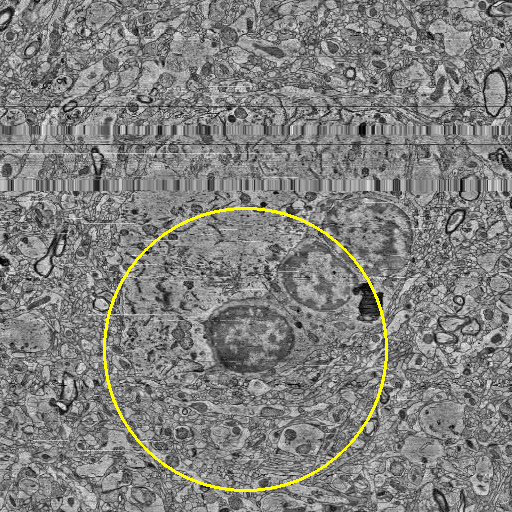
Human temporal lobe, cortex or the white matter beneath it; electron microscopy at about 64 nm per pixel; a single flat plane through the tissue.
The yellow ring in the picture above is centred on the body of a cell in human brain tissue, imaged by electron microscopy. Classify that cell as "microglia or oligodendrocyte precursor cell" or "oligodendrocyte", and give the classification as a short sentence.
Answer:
The cell in the middle of the ring is an oligodendrocyte.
